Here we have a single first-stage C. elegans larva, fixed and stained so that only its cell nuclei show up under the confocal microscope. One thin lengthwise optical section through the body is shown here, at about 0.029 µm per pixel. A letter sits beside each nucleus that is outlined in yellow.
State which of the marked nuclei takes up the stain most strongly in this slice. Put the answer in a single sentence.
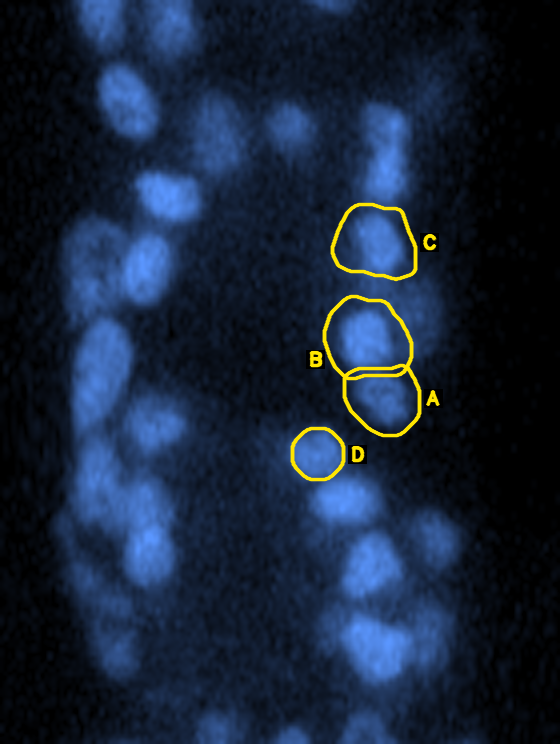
Nucleus D shows the strongest staining.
